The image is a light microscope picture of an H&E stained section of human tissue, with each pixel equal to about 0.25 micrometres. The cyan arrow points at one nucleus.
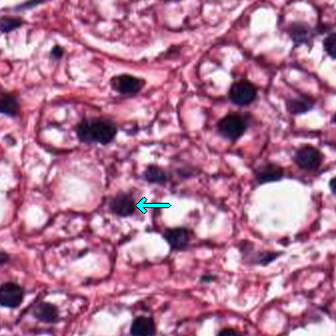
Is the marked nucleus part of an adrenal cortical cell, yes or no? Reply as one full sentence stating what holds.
Yes, the nucleus indicated by the marking belongs to an adrenal cortical cell.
